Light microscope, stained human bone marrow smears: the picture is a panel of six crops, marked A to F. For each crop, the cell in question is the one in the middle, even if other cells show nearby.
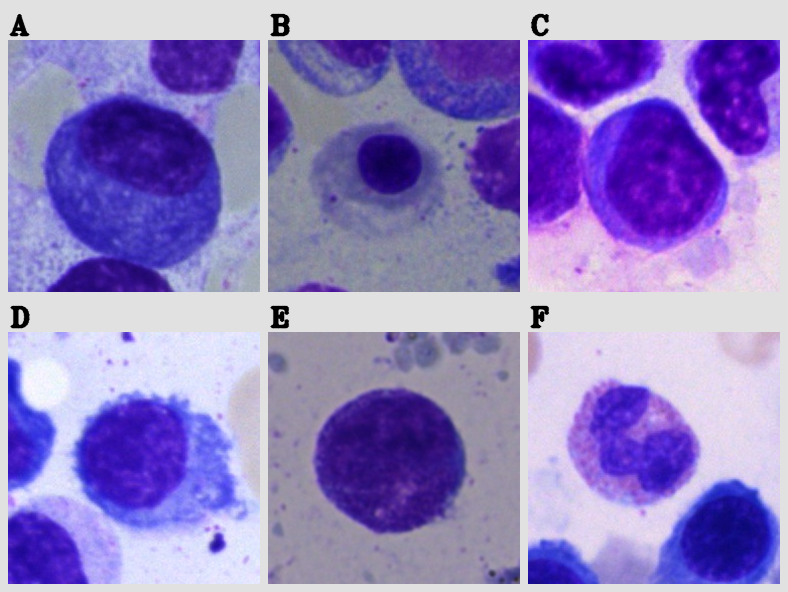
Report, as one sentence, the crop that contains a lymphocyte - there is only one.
Crop D is the crop whose central cell is a lymphocyte.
